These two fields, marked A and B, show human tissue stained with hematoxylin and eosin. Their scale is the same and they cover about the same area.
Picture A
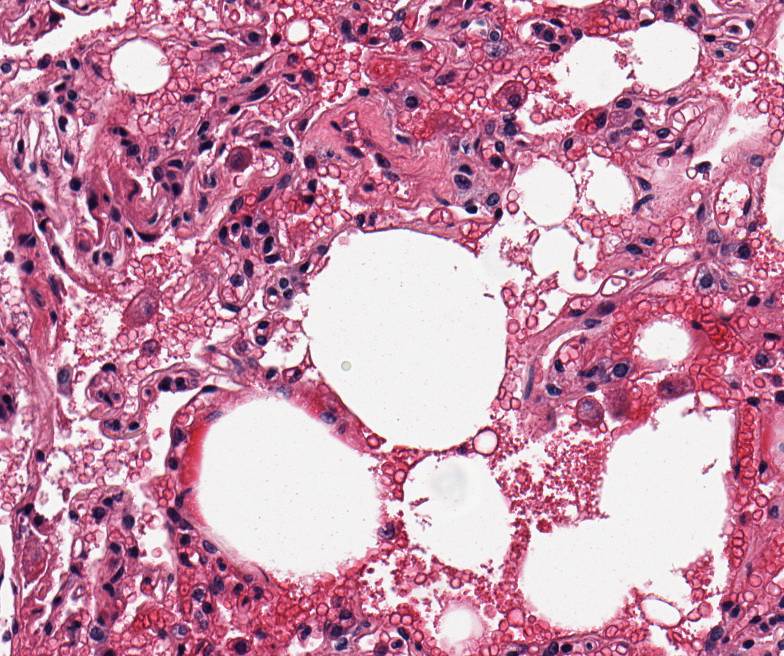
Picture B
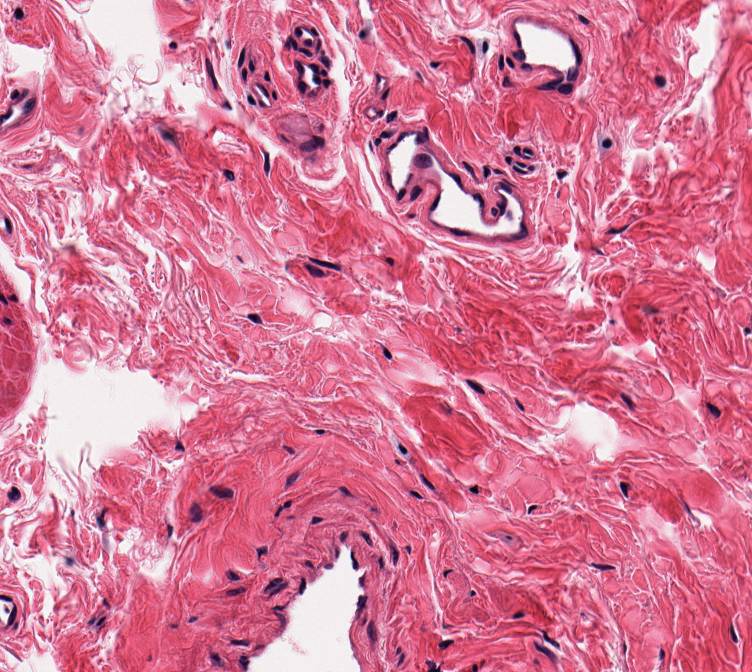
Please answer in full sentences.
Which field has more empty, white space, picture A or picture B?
Picture A has more white space.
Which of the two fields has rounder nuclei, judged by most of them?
It is picture A whose nuclei are the rounder.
